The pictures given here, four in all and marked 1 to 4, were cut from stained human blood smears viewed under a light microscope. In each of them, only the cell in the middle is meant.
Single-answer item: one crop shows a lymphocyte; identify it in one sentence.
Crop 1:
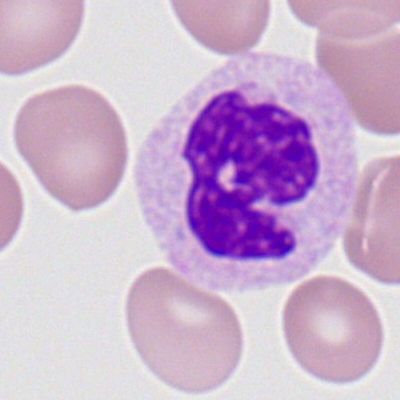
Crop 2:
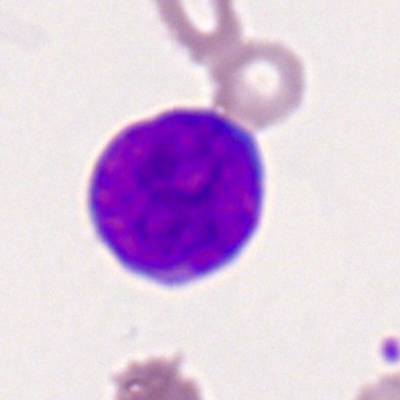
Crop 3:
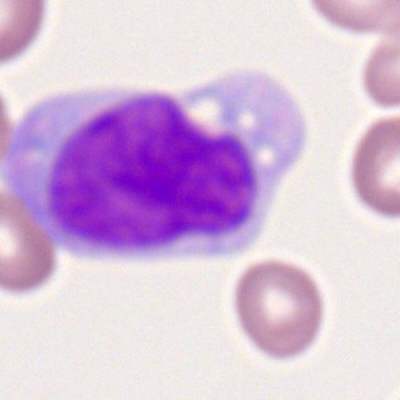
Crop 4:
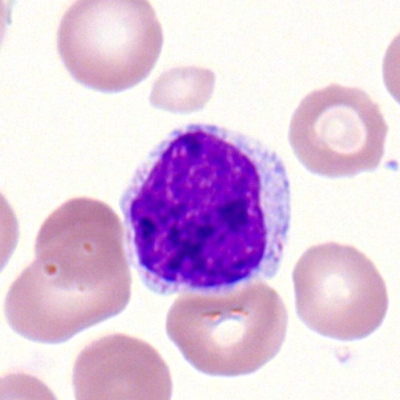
It is in crop 4, among all the crops, that a lymphocyte is present.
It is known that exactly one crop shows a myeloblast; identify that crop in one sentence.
Crop 2 matches the request, showing a myeloblast.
